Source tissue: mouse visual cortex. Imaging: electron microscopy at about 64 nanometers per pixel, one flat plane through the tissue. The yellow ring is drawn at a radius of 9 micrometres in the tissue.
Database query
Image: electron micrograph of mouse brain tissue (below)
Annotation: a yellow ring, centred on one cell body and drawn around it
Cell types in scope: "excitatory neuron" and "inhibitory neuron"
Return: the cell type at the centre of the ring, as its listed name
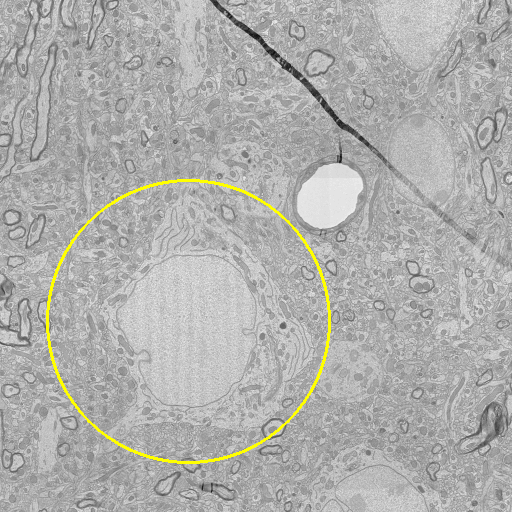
excitatory neuron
